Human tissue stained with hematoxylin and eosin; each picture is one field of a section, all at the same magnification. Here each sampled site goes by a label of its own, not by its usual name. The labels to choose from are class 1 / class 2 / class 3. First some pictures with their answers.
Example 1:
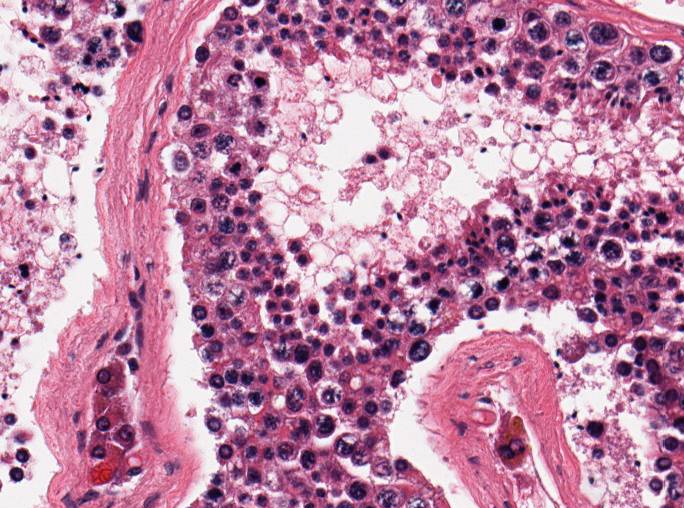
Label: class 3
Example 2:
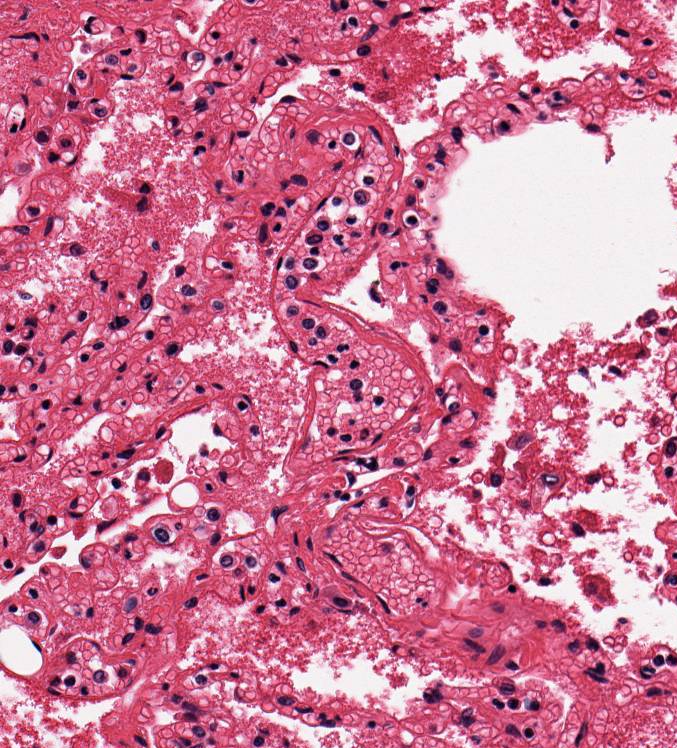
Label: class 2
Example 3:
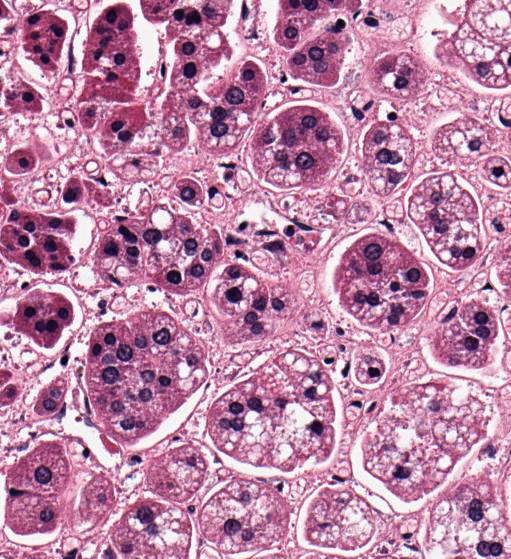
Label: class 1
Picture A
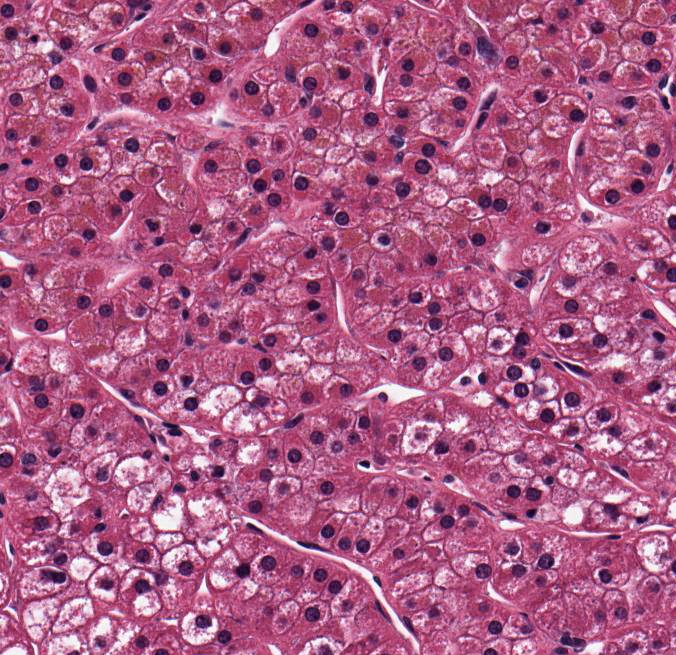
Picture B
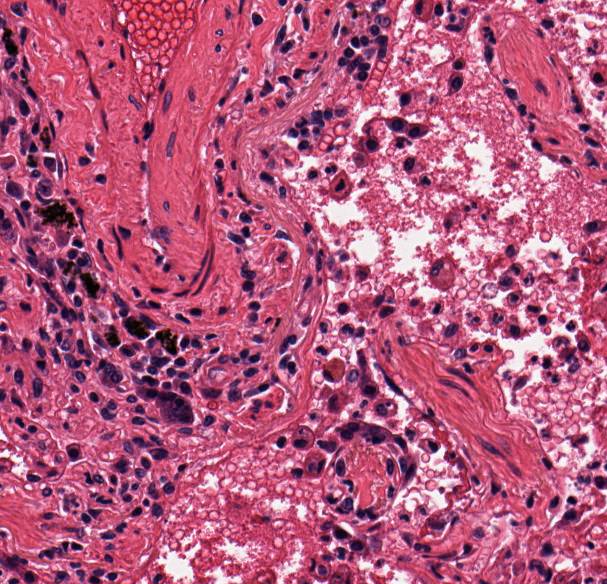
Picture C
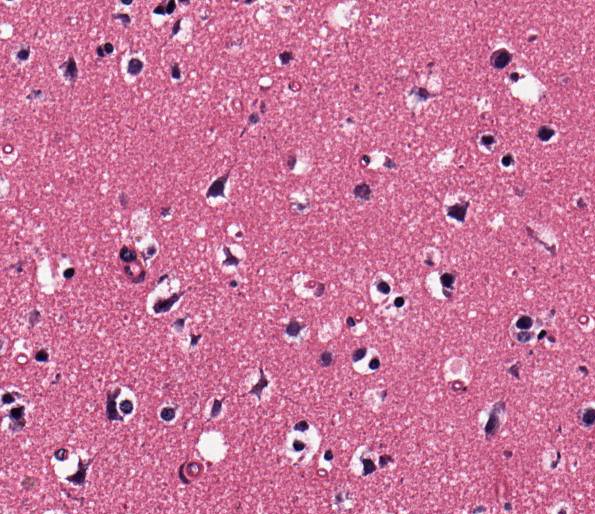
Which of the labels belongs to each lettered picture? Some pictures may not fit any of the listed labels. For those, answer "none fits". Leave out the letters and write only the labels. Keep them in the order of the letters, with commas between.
class 1, class 2, none fits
